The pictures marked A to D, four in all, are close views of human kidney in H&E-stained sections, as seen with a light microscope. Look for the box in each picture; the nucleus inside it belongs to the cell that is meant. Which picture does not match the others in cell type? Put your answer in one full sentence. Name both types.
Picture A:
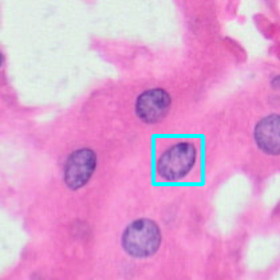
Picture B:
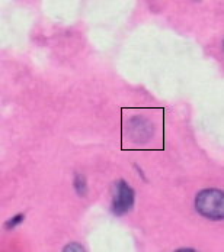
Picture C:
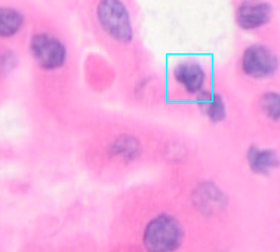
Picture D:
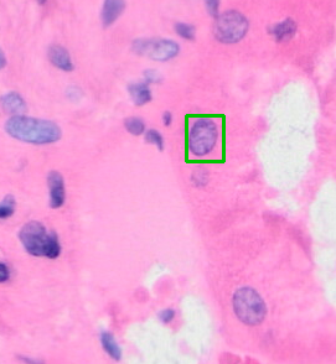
Unlike the rest, which show proximal tubule cells, picture C shows a “loop of Henle or distal tubule cell”.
